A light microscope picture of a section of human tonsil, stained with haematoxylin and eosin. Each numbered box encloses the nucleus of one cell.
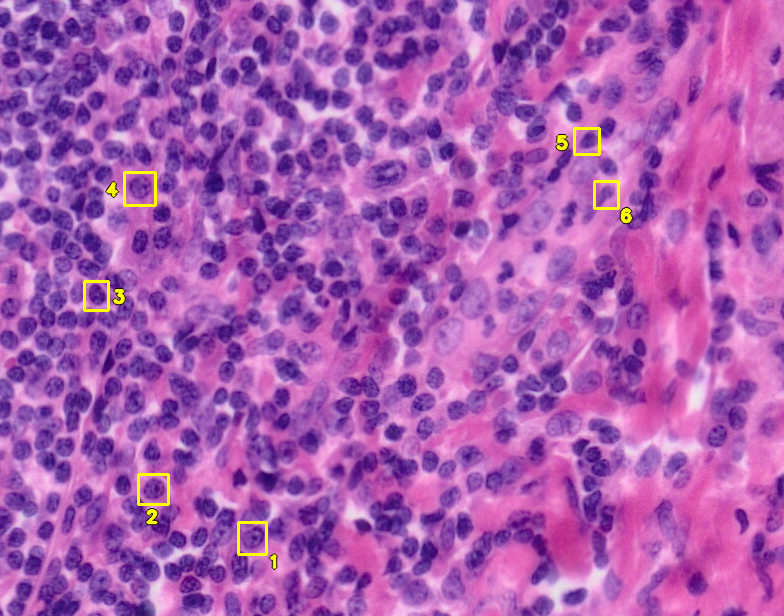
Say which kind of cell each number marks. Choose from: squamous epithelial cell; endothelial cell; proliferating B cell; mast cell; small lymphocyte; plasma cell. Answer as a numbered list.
1. plasma cell
2. plasma cell
3. small lymphocyte
4. plasma cell
5. endothelial cell
6. endothelial cell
